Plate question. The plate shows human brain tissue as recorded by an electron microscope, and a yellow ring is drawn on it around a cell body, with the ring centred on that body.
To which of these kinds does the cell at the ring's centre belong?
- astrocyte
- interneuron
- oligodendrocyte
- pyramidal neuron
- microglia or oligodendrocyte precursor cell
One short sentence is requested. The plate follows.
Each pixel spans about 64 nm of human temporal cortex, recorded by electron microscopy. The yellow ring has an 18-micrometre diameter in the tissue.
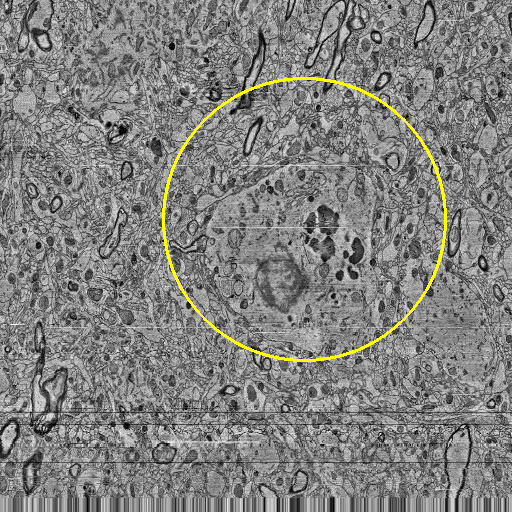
The cell at the ring's centre is an interneuron.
